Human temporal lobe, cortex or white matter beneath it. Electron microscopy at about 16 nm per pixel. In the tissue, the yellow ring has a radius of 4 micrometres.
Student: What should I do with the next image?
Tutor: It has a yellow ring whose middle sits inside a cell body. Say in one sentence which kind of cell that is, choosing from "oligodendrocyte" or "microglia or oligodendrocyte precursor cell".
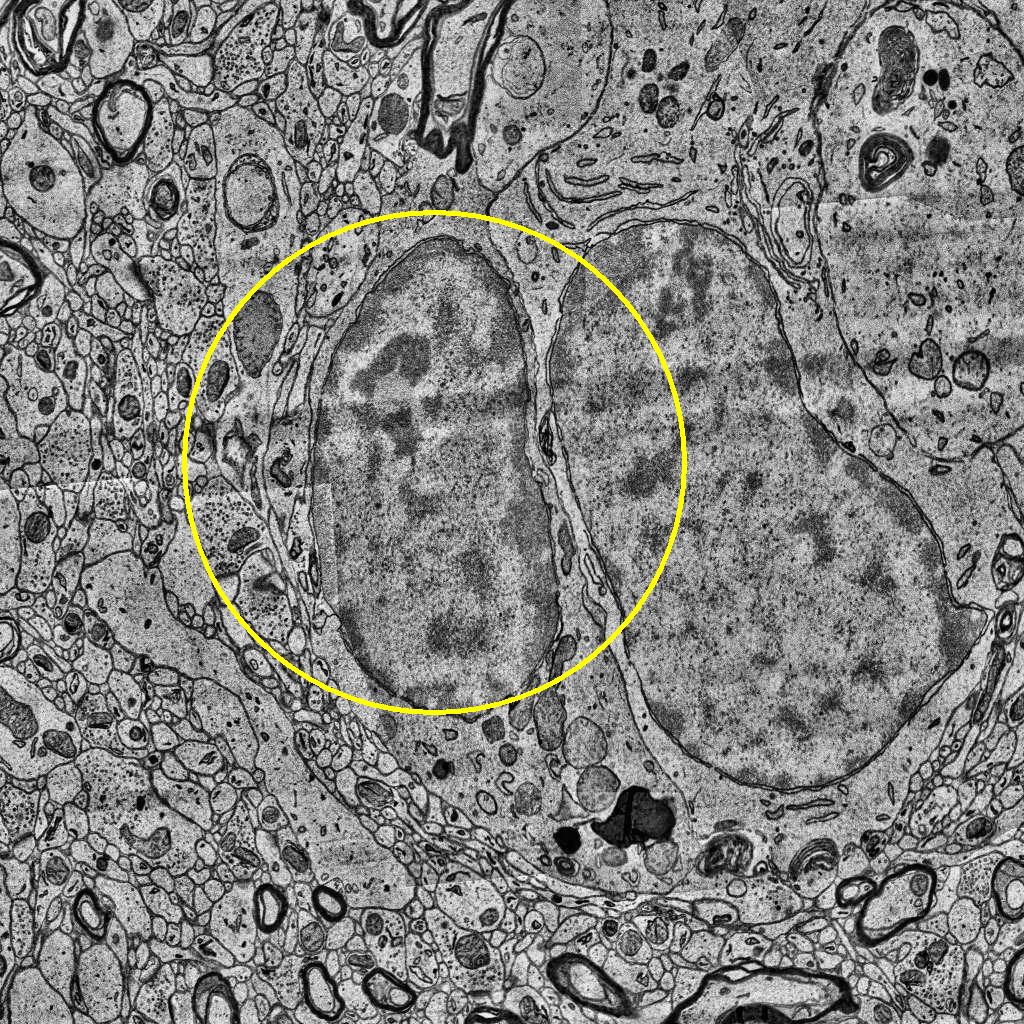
The ring's centre is occupied by an oligodendrocyte.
